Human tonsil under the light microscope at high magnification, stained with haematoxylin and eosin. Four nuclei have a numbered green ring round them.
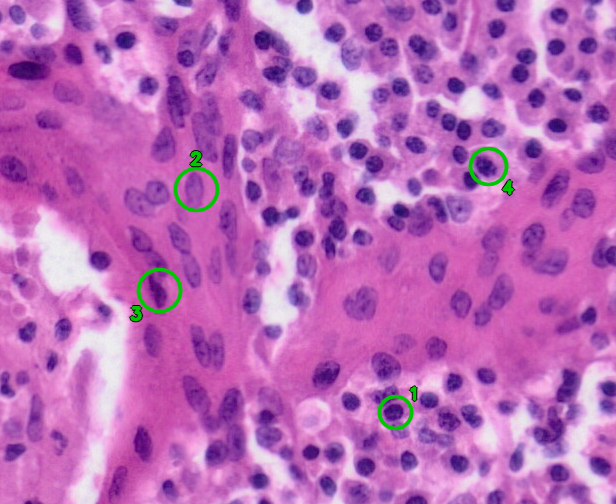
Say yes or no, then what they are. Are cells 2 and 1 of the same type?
No, that's off: cell 2 is a squamous epithelial cell and cell 1 is a plasma cell.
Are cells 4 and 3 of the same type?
No, whereas cell 3 is a squamous epithelial cell, cell 4 is a plasma cell.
